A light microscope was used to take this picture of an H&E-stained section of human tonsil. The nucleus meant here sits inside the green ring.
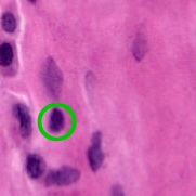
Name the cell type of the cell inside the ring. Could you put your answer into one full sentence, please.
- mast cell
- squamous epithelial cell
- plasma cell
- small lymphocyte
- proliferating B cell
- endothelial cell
In the context of this tissue, the cell inside the ring is a mast cell.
